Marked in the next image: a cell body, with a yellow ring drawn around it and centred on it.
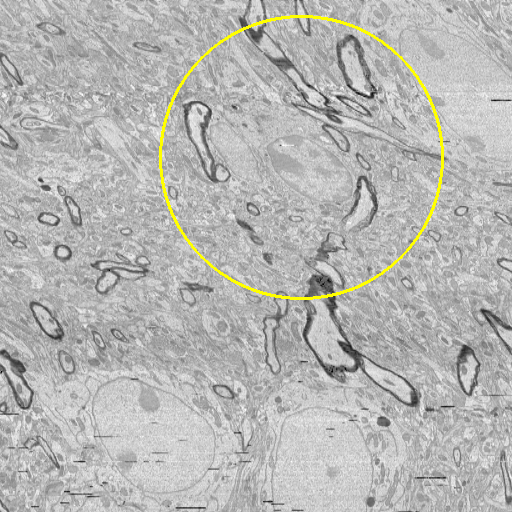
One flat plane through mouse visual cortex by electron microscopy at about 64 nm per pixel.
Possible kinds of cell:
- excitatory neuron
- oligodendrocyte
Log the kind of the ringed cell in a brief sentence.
The ringed cell body is that of an oligodendrocyte.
